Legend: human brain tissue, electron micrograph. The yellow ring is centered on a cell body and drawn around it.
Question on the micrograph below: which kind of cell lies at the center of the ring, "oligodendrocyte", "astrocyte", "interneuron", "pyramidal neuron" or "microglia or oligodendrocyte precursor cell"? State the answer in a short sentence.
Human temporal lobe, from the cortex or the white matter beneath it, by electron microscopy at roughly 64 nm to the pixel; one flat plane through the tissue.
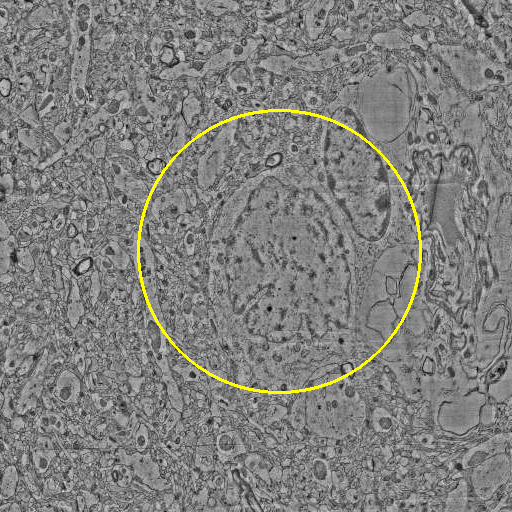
At the center of the ring lies an interneuron.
